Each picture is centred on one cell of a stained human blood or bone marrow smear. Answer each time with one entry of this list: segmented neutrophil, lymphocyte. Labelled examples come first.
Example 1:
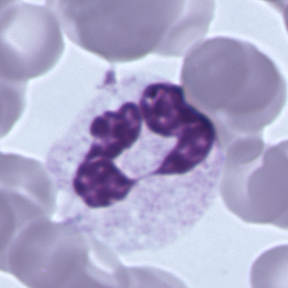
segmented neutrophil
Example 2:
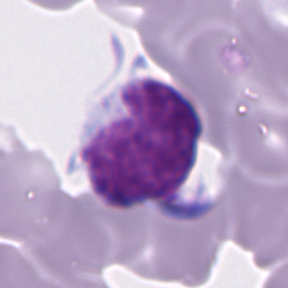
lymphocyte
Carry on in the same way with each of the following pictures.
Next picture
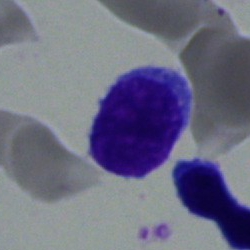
lymphocyte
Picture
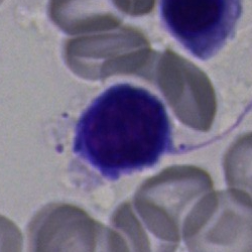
lymphocyte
